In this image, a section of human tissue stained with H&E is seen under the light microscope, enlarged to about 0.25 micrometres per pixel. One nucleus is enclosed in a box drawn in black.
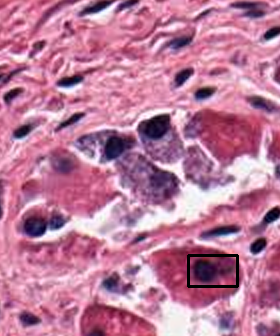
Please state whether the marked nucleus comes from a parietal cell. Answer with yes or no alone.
yes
